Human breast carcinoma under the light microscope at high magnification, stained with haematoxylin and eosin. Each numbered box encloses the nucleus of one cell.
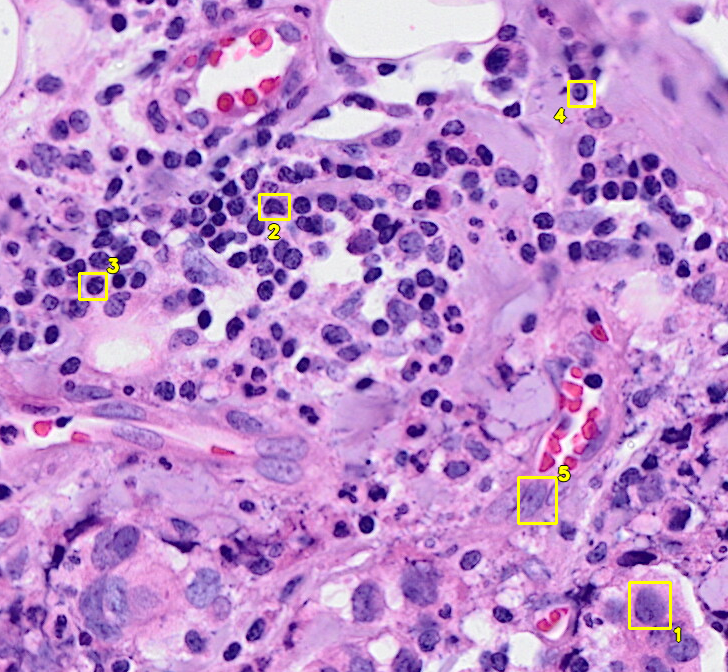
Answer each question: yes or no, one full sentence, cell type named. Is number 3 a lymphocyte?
Yes, cell 3 is a lymphocyte in this tissue section.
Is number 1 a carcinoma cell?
Yes, the cell at number 1 is a carcinoma cell.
